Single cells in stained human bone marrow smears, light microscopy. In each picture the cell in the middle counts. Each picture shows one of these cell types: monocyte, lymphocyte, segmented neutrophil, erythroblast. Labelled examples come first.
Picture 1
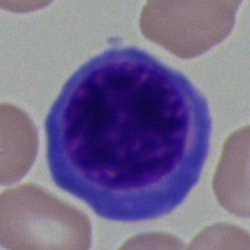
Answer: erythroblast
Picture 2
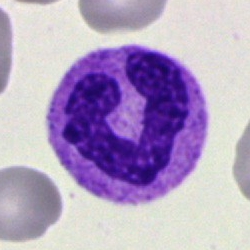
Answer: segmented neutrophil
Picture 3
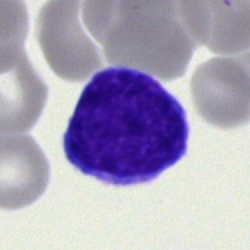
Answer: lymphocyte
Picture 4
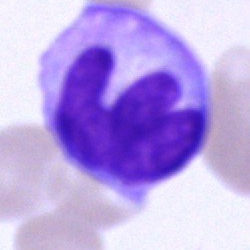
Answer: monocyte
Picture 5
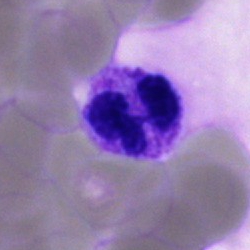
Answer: segmented neutrophil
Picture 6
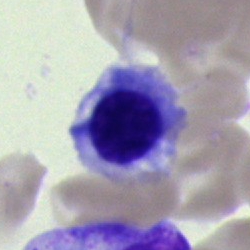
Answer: erythroblast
